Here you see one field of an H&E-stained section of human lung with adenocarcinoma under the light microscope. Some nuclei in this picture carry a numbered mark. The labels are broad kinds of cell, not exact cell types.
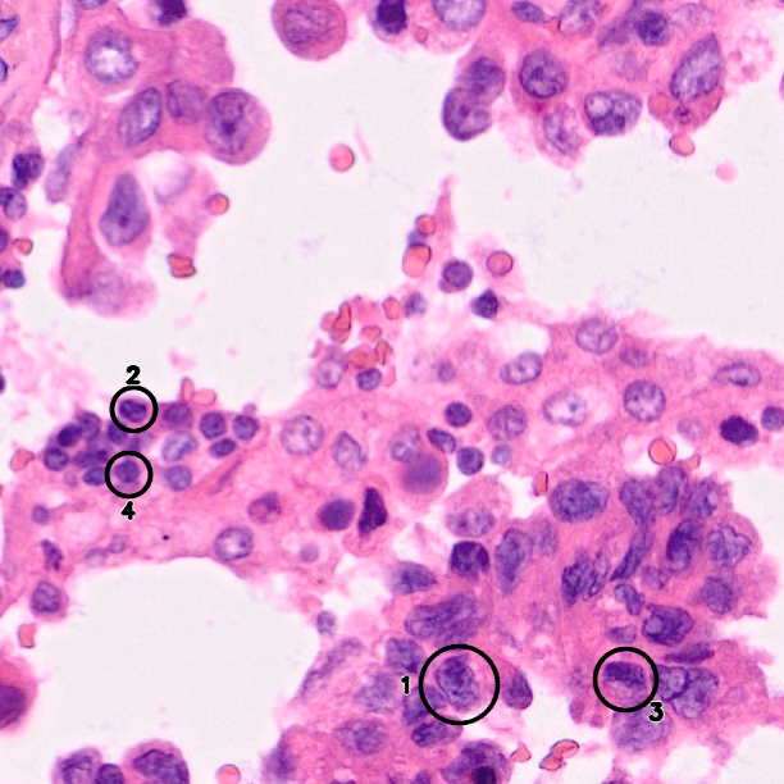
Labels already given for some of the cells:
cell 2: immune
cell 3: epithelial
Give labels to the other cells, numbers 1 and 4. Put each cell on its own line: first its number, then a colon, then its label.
1: epithelial
4: immune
